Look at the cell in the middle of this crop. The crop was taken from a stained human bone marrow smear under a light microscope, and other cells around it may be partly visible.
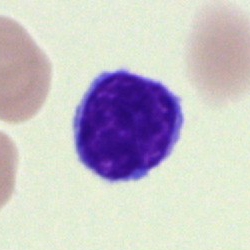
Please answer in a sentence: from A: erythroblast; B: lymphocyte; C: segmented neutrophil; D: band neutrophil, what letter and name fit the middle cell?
The cell shown centrally is a lymphocyte; option B is the correct option.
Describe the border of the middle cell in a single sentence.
Not smooth, the outline of the cell is ragged or drawn out into projections.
